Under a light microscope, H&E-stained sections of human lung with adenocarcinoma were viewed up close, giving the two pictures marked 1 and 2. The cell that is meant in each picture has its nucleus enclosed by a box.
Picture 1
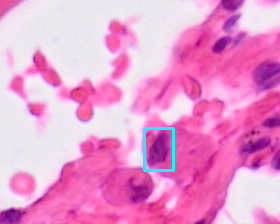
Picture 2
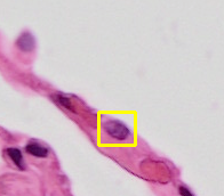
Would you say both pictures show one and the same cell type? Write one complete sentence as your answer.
No, they differ: the cell is a “macrophage or monocyte” in picture 1 and a type I pneumocyte in picture 2.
